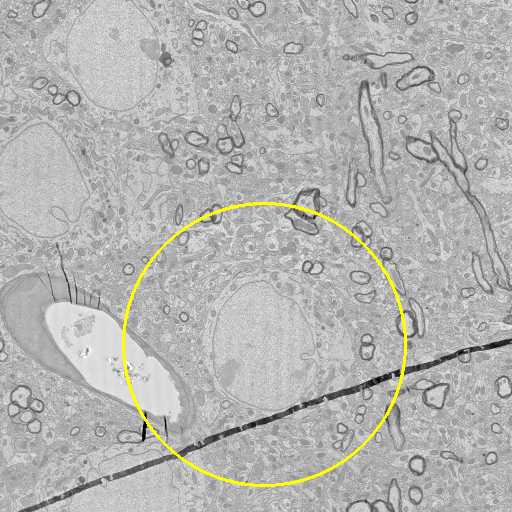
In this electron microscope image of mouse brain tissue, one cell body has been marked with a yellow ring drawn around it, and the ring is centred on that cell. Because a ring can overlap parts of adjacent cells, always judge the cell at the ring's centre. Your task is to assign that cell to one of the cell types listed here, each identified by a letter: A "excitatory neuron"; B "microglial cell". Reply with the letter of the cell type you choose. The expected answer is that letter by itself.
A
